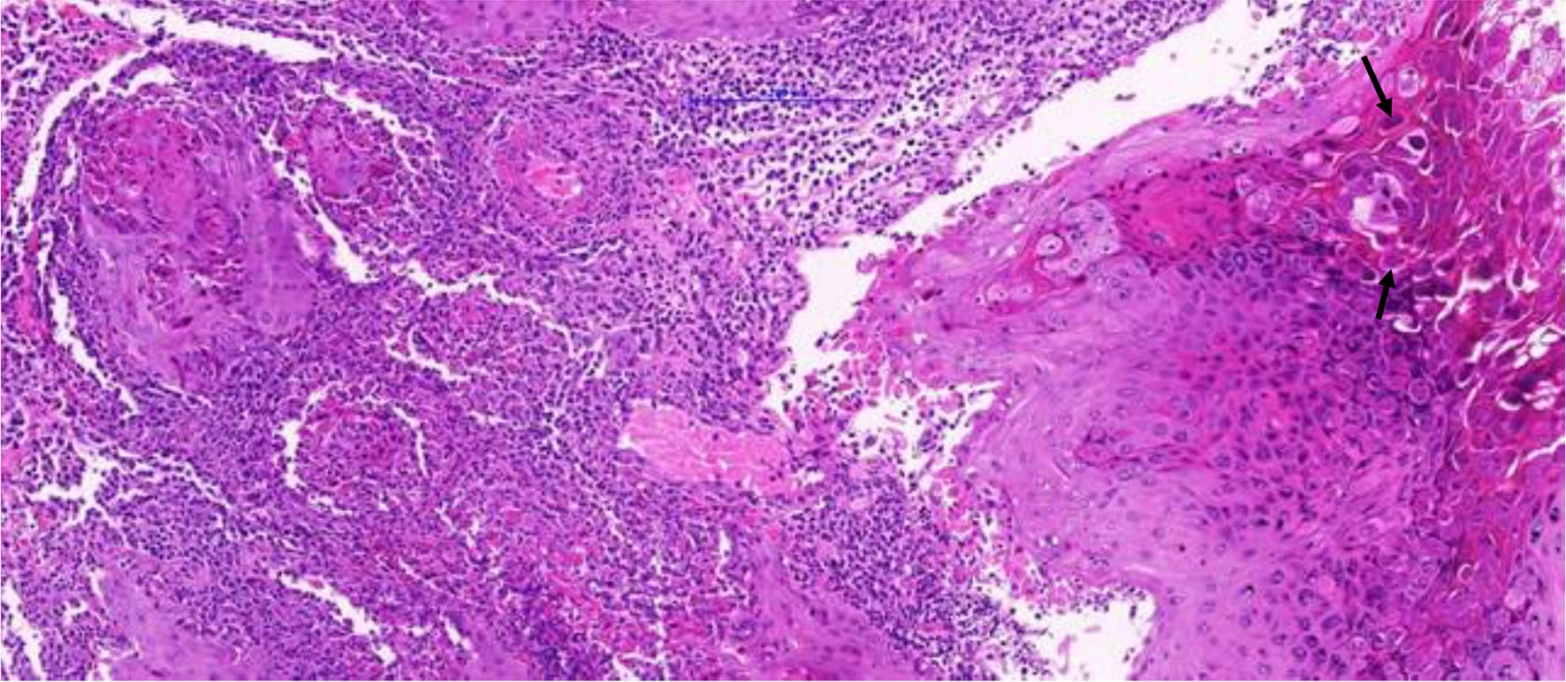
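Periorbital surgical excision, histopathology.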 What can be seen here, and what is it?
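Granulation tissue lies alongside fragments of hyperplastic squamous epithelium. On the left, densely packed small dark inflammatory cells crowd a loose tissue with small vessels and clefts, and pink islands of epithelium lie among them. On the right, a thick fragment of stratified squamous epithelium has pale pink cytoplasm and round nuclei.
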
